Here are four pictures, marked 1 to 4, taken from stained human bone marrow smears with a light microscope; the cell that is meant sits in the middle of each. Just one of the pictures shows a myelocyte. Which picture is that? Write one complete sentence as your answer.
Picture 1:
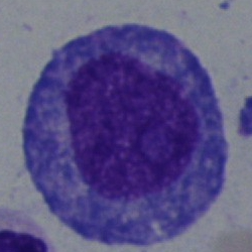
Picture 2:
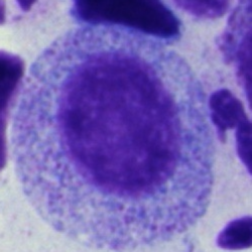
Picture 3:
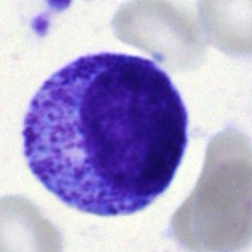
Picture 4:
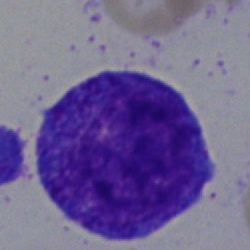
It is picture 3 that shows the myelocyte.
